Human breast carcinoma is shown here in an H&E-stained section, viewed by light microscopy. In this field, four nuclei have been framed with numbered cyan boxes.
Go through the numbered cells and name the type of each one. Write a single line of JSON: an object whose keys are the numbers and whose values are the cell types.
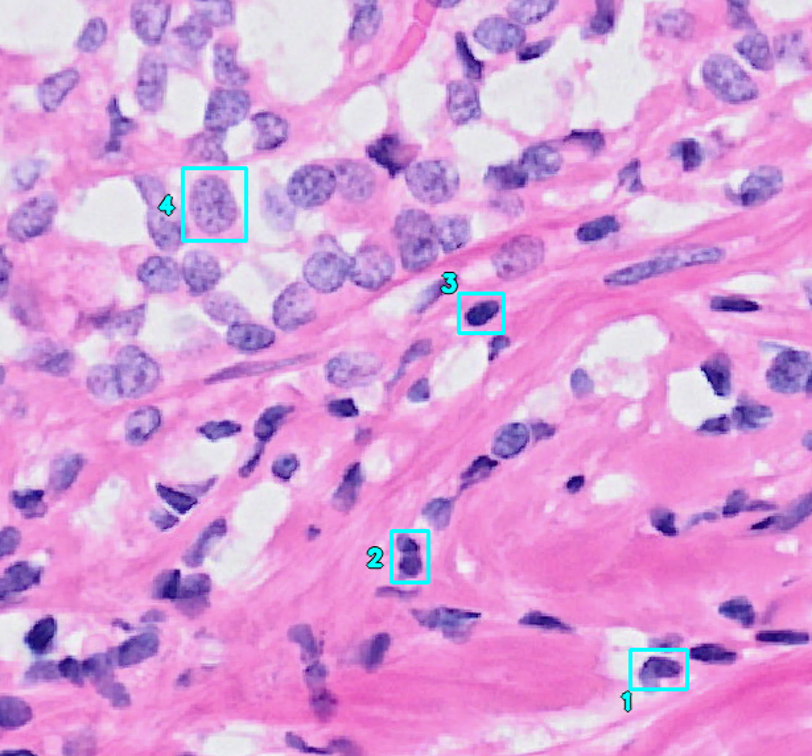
{"1": "lymphocyte", "2": "lymphocyte", "3": "lymphocyte", "4": "carcinoma cell"}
